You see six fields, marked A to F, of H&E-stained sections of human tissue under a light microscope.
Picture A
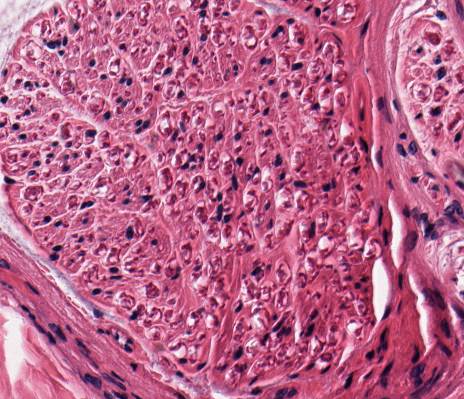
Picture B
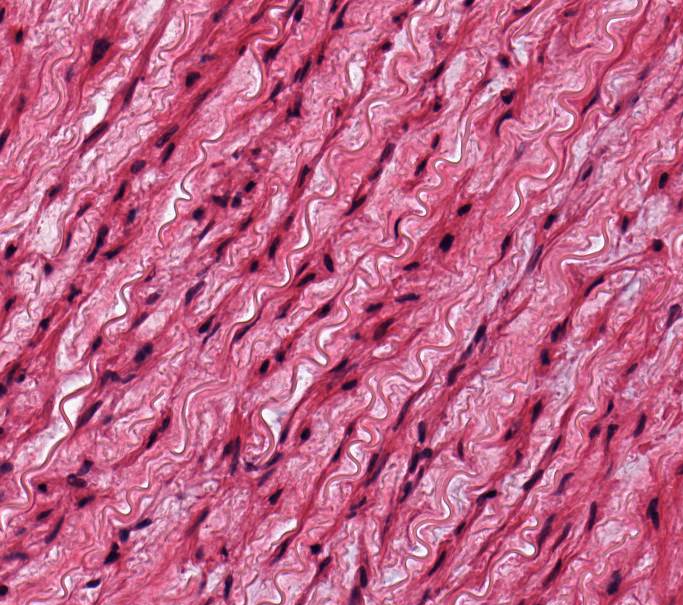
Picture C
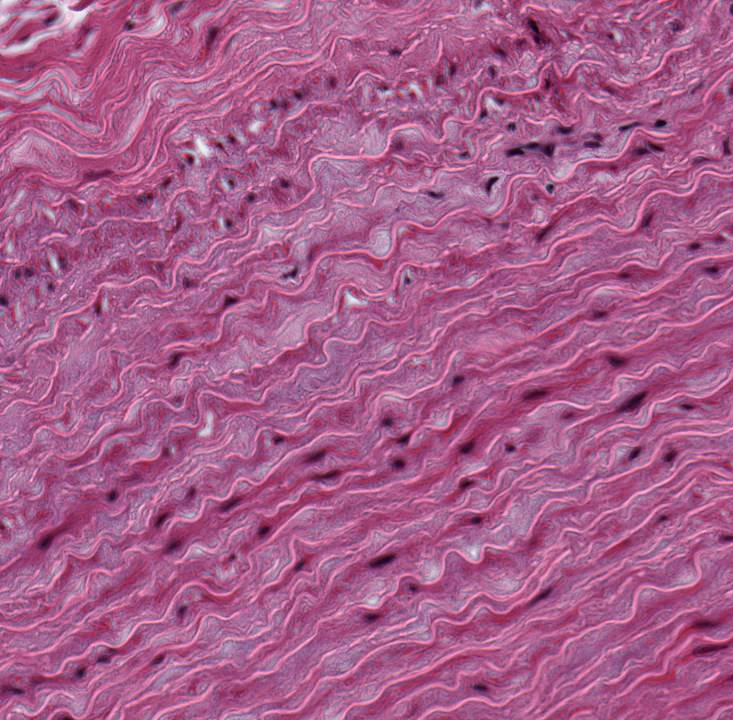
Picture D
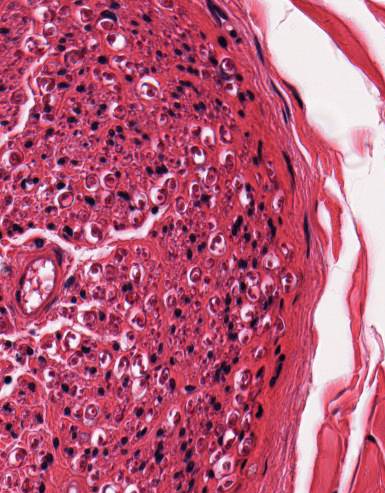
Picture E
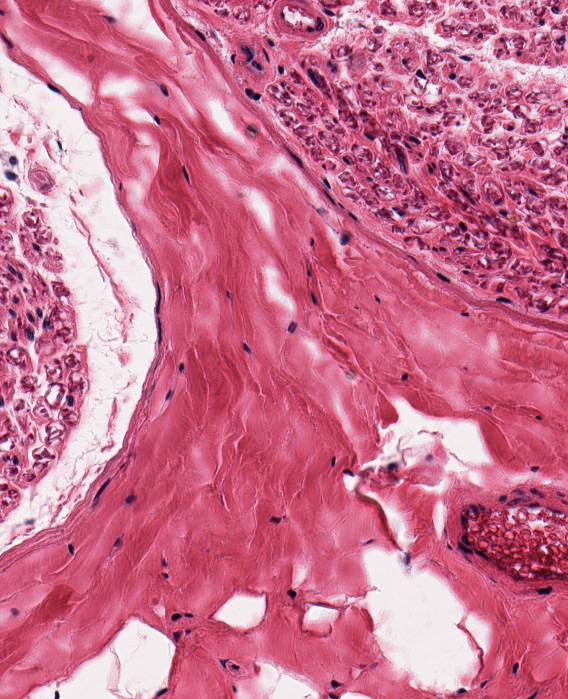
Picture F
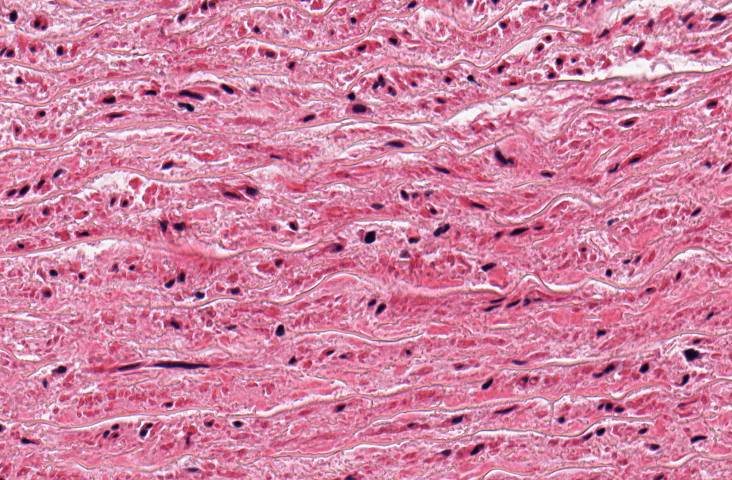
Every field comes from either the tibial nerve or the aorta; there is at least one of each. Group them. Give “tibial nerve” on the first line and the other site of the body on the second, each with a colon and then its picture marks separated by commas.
tibial nerve: A, D, E
aorta: B, C, F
